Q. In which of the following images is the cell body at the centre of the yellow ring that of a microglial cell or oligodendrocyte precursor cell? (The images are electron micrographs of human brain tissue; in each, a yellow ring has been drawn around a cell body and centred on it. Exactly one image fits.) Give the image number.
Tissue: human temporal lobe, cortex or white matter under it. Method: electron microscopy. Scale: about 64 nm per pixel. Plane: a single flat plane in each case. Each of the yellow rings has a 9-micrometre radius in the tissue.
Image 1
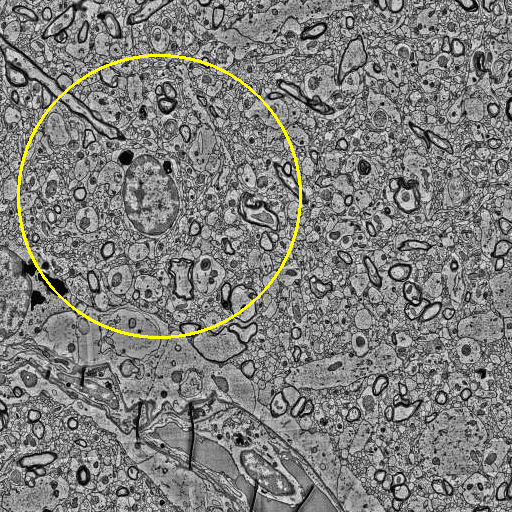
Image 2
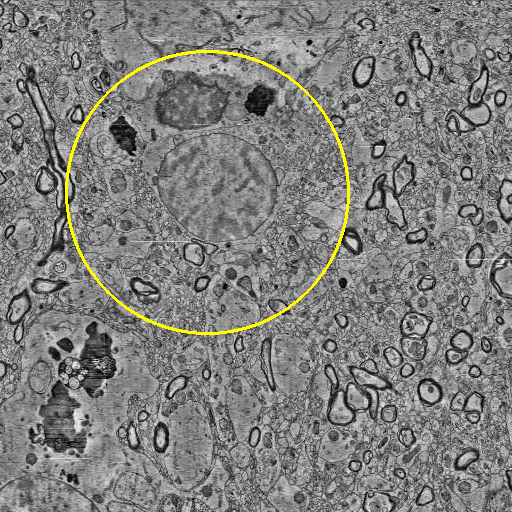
1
